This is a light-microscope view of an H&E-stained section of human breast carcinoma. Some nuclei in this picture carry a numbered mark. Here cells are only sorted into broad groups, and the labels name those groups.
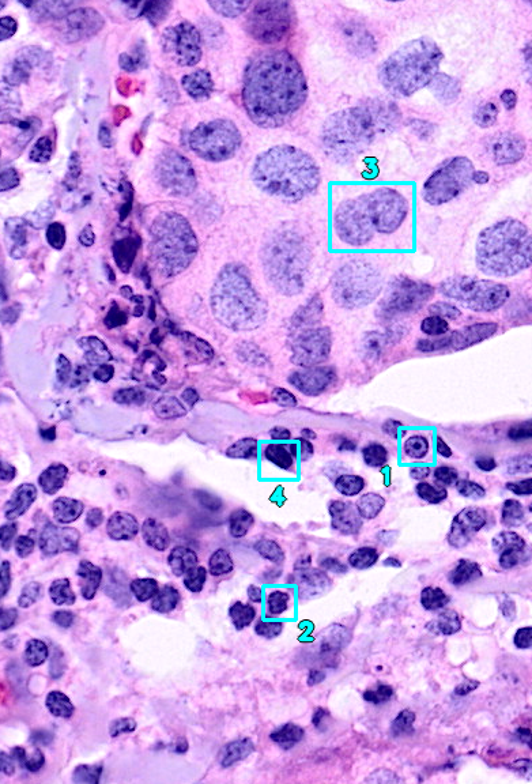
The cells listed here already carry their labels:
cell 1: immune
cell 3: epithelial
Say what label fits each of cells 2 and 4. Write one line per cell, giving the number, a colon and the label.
2: immune
4: immune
